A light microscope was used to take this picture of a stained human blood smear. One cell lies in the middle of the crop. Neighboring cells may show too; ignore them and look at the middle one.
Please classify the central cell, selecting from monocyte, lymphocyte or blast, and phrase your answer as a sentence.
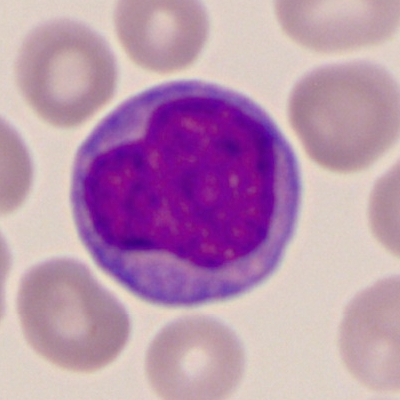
The target cell in the middle of the crop is a blast.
